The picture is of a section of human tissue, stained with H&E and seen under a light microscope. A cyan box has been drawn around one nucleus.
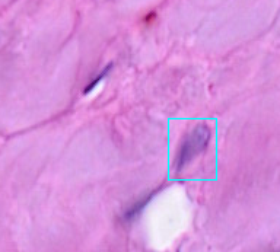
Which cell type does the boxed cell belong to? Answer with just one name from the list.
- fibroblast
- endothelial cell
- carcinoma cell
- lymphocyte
fibroblast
